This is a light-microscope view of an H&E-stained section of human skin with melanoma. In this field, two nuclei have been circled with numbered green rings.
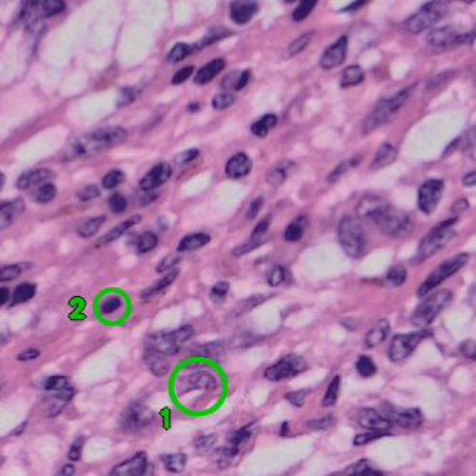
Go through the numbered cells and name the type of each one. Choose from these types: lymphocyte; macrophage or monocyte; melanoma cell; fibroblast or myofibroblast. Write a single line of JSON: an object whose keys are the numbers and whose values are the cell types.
{"1": "melanoma cell", "2": "lymphocyte"}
